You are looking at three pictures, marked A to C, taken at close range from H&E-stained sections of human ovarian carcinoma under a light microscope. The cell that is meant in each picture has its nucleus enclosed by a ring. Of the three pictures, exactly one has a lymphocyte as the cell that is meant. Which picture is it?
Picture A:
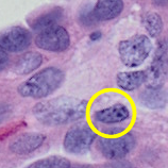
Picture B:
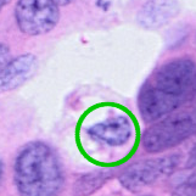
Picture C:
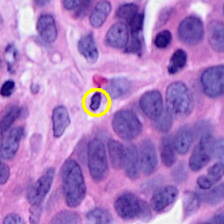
C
